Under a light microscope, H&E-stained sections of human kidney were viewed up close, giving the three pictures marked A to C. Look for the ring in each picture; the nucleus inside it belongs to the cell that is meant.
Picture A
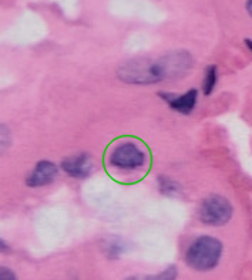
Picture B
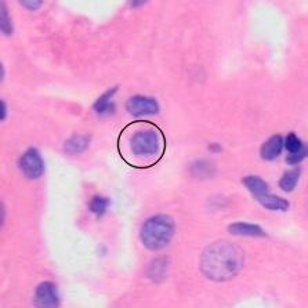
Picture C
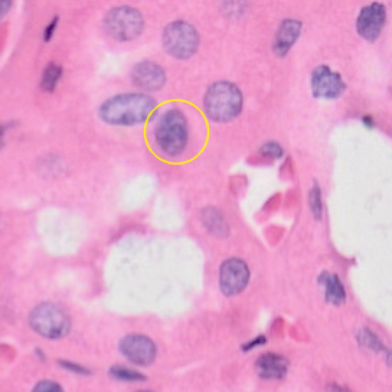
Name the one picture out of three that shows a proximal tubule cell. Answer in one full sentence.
Picture C shows the proximal tubule cell.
